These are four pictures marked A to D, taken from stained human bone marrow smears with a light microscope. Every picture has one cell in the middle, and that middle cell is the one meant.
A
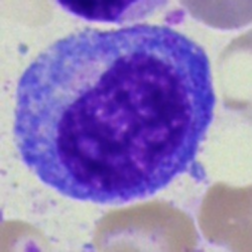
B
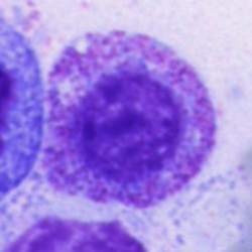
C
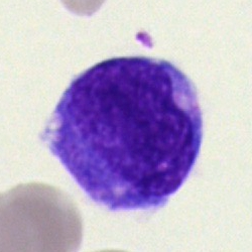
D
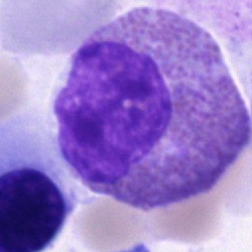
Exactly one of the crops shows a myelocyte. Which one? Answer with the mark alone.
B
